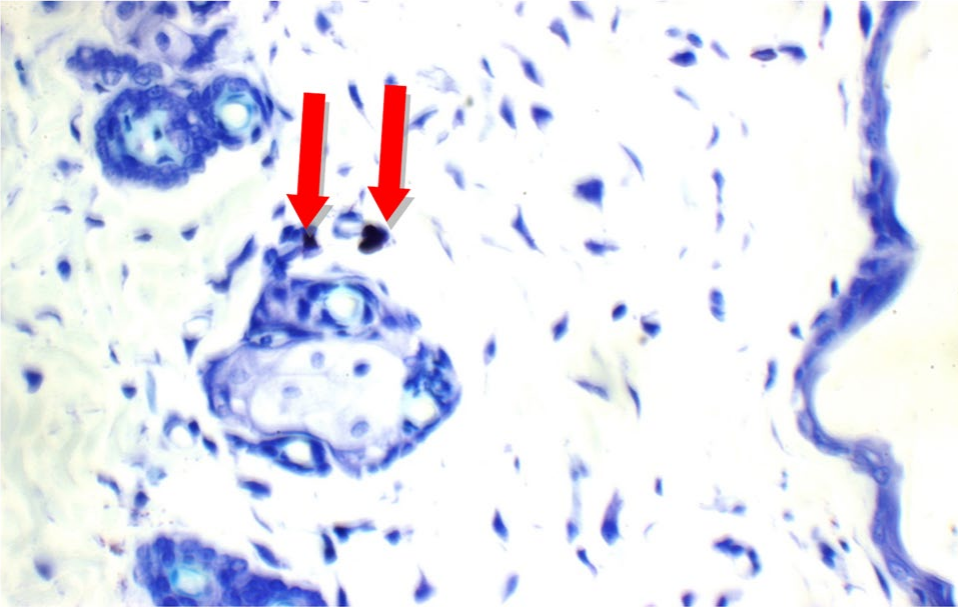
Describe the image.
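This is the dermis of skin, with adnexal structures and two mast cells beside one of them. Cross-sections of adnexal structures, rounded groups of epithelial cells with blue nuclei around small pale lumina, lie on the left side. The surrounding connective tissue is pale and loose, with scattered spindle-shaped and oval blue nuclei of connective tissue cells. Just above the central adnexal structure are two small cells stained an intense dark purple-black, standing out sharply from the blue background. A thin, wavy epithelial layer with darker blue nuclei runs along the right edge of the field.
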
